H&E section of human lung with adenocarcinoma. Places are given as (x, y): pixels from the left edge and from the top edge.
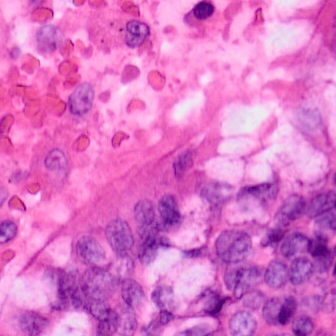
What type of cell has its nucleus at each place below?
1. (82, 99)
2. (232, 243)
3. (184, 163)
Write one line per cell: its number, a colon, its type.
1: macrophage or monocyte
2: ciliated epithelial cell
3: ciliated epithelial cell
